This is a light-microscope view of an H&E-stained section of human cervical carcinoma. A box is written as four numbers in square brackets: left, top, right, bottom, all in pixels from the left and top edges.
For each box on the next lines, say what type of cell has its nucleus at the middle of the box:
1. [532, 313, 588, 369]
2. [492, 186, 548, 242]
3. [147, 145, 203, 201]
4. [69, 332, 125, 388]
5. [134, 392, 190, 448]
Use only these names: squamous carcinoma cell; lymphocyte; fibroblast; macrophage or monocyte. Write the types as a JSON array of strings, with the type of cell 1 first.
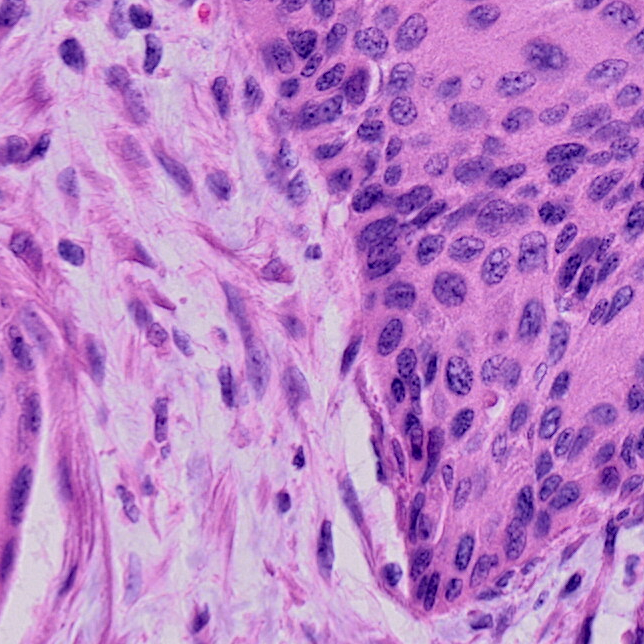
["squamous carcinoma cell", "squamous carcinoma cell", "fibroblast", "fibroblast", "fibroblast"]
